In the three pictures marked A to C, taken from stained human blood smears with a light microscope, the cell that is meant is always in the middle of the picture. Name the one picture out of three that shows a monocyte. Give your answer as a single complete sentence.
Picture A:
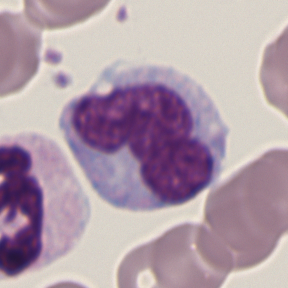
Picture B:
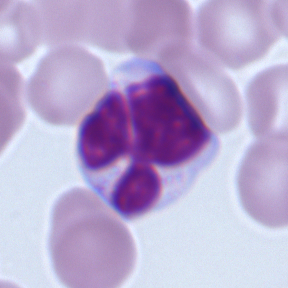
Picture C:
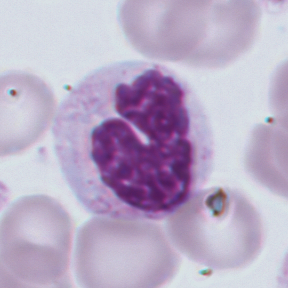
Picture A shows the monocyte.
